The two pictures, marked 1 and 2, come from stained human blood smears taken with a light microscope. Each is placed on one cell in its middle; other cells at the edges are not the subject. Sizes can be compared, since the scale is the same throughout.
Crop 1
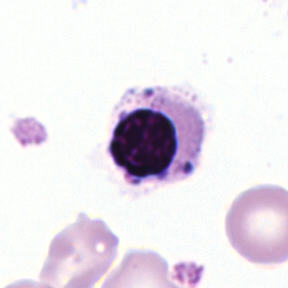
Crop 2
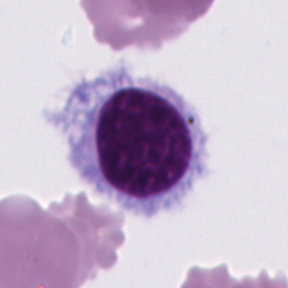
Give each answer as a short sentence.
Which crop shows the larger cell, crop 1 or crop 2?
Crop 2 holds the larger cell; it covers about 2 times the area of the cell in crop 1.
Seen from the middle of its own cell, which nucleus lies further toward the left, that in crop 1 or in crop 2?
Seen within its cell, the nucleus in crop 1 lies further toward the left.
